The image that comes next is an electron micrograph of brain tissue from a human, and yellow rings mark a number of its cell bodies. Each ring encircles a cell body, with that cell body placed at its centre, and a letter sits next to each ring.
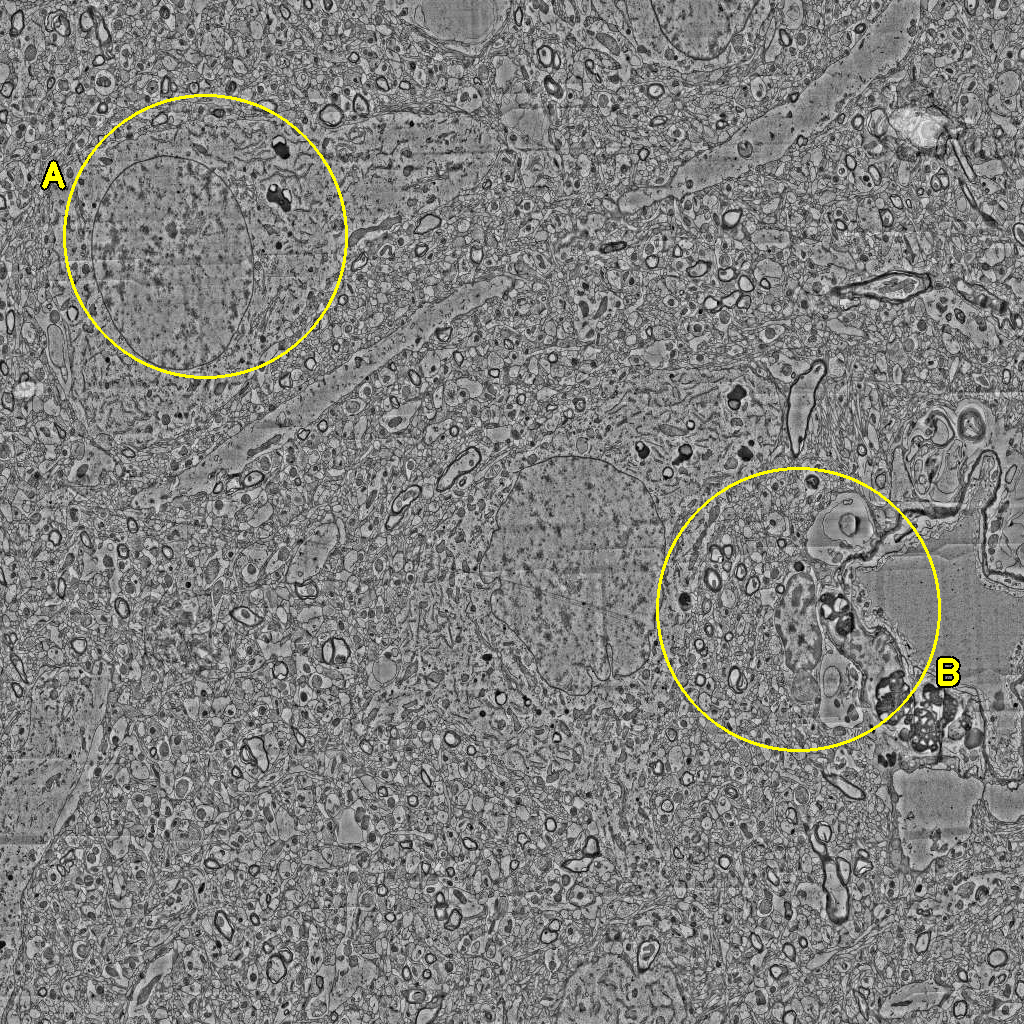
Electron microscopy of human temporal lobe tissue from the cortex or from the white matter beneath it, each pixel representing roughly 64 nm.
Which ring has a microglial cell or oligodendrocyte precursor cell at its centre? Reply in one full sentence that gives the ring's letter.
In the image, ring B has the cell the question asks for at its centre.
